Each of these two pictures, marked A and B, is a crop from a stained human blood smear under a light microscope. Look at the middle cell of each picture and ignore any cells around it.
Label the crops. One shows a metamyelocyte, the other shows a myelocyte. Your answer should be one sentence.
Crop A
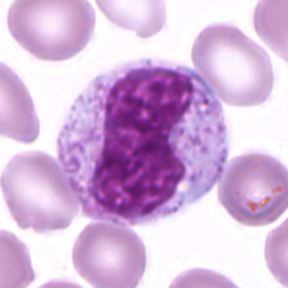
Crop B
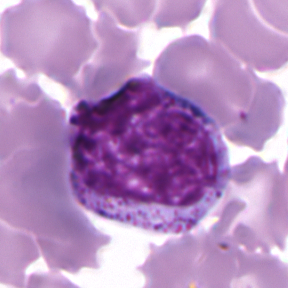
Represented in crop A is a metamyelocyte; represented in crop B is a myelocyte.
